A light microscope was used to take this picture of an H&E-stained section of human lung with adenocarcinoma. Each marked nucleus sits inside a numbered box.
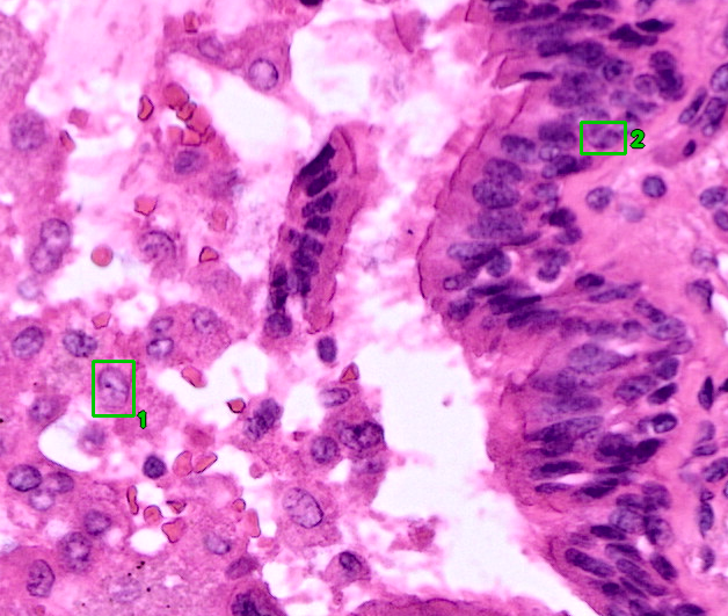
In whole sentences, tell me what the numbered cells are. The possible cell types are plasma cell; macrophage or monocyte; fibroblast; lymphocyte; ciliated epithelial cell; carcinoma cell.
Cell 1 is a macrophage or monocyte and cell 2 is a ciliated epithelial cell.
